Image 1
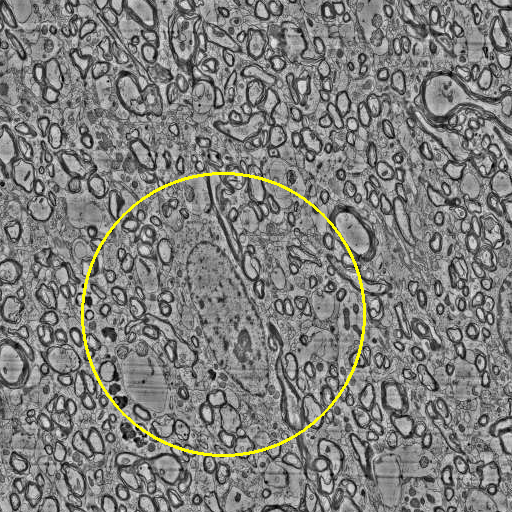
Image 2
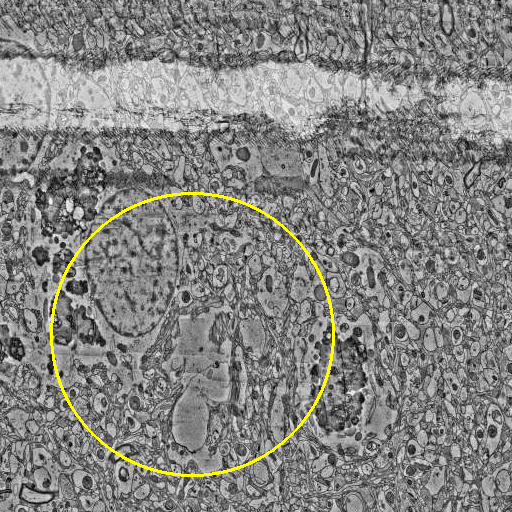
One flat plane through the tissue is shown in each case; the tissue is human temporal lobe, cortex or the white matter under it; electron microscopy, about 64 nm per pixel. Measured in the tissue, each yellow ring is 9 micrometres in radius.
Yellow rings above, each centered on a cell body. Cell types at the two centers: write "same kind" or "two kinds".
same kind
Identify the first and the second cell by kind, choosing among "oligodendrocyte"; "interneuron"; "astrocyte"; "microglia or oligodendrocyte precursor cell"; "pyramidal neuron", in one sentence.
Each cell at the centre of a ring is an astrocyte.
